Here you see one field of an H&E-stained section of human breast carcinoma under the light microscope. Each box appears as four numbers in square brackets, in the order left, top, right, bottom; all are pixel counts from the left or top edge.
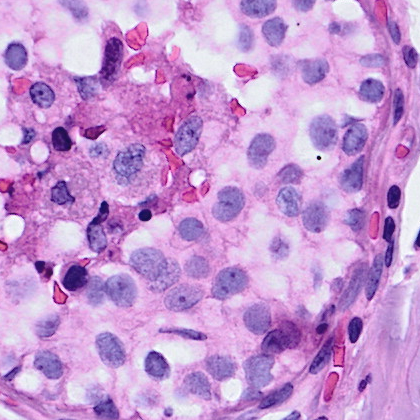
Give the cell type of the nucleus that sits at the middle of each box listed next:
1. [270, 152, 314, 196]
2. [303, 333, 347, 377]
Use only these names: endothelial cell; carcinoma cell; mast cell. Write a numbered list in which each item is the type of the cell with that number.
1. carcinoma cell
2. endothelial cell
